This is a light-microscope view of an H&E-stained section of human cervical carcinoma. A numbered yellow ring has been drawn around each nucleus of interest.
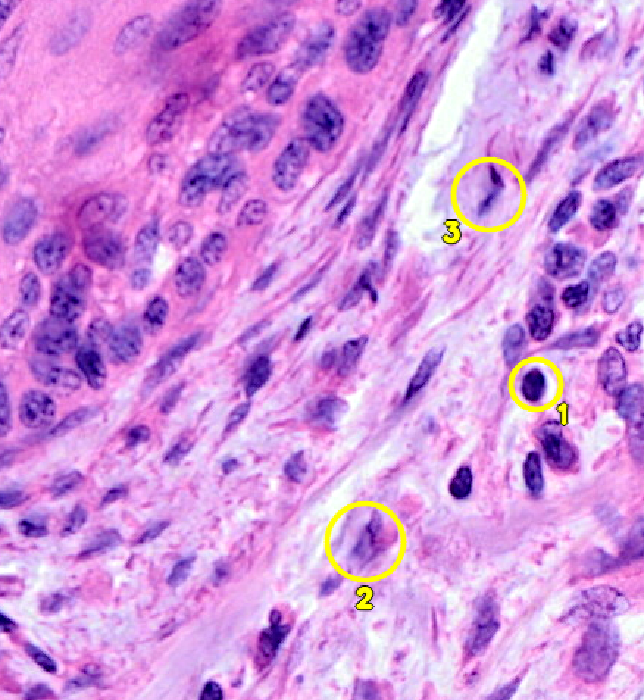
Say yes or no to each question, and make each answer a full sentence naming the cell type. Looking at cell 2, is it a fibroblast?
Yes, the cell that is numbered 2 is a fibroblast.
